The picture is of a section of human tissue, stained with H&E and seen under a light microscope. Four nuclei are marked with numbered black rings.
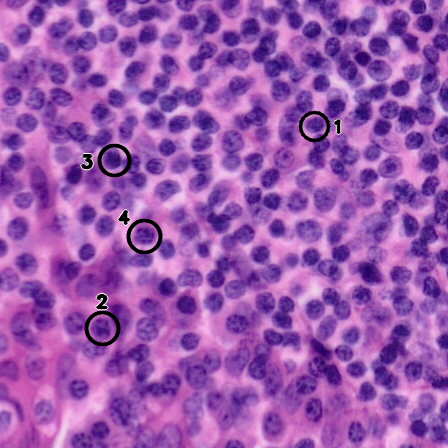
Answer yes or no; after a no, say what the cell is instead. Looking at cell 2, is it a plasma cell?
Yes.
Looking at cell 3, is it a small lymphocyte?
Yes.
